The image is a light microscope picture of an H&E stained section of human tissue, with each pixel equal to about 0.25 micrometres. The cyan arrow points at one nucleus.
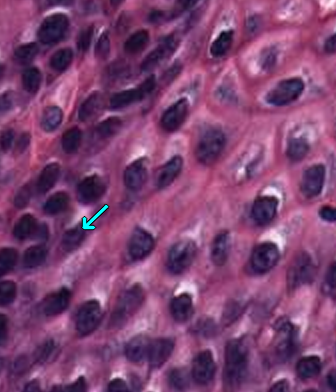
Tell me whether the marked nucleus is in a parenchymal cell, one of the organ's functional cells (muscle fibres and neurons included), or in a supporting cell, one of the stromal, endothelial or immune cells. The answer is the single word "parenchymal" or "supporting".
parenchymal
